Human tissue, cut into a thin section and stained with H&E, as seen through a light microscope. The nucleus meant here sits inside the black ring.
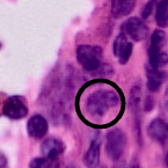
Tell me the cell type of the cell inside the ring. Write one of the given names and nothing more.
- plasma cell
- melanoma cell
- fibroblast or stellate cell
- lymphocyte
lymphocyte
